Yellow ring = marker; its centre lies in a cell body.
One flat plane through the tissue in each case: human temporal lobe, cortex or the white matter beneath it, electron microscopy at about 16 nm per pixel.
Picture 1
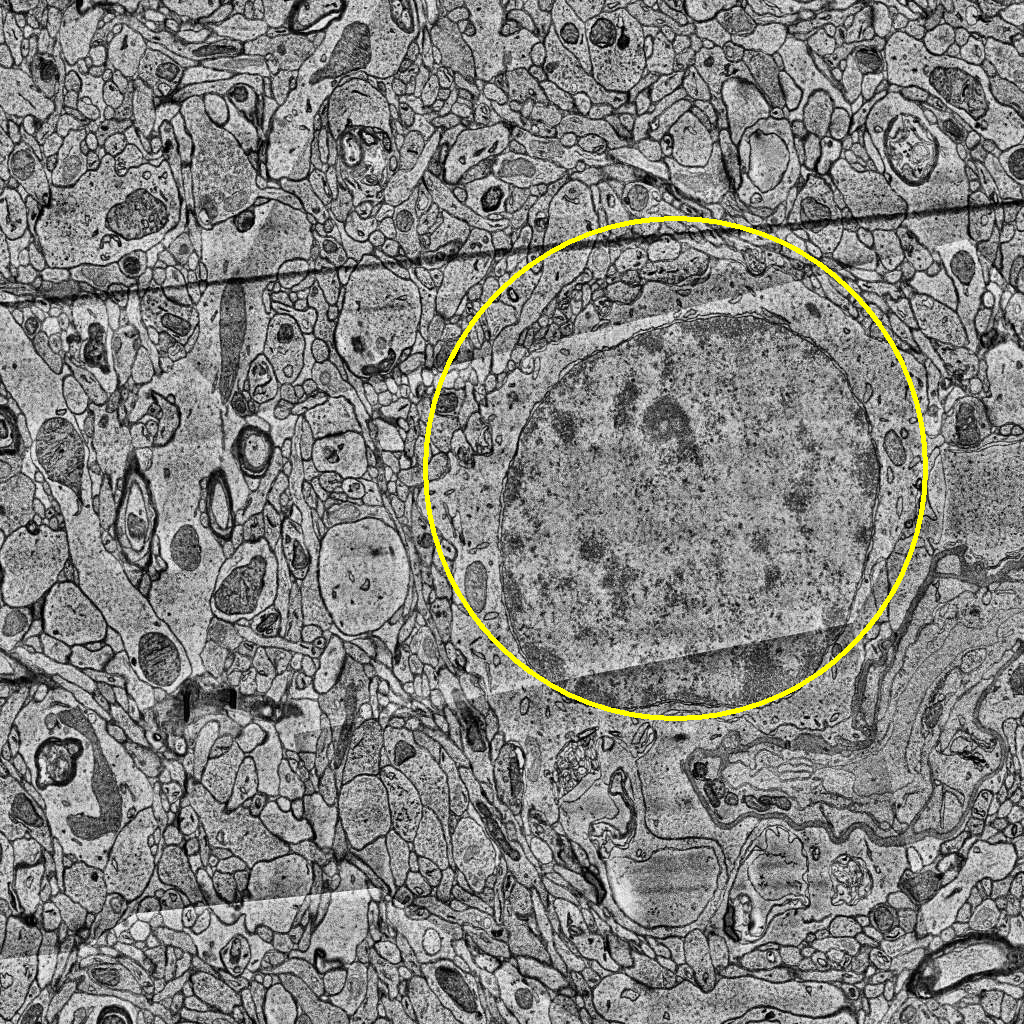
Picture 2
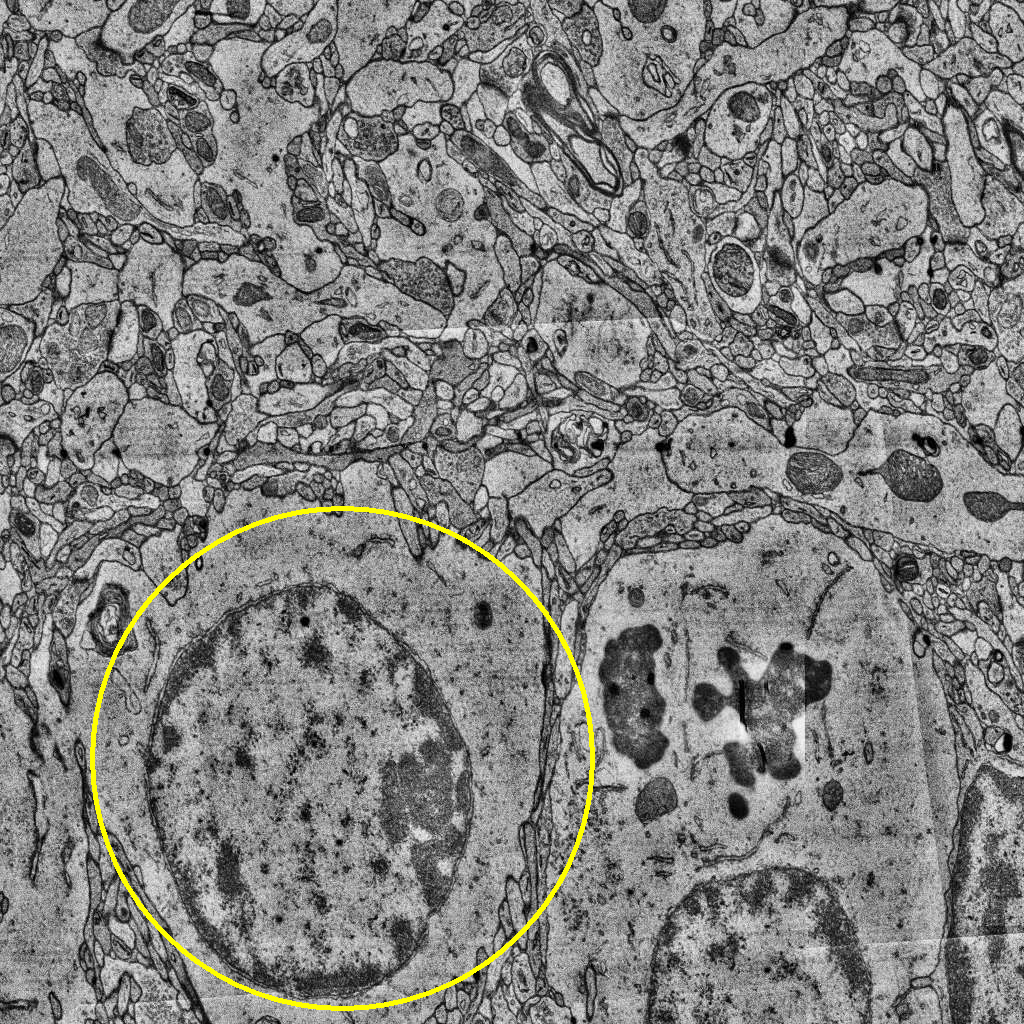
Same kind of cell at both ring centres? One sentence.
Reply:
No, they are two kinds of cell.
